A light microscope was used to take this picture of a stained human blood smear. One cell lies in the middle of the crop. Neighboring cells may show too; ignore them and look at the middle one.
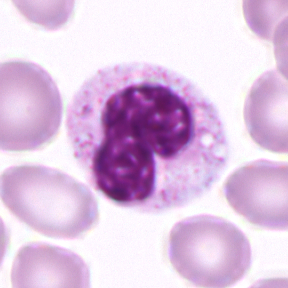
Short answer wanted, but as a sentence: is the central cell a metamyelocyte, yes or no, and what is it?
No, the cell sitting in the middle is a band neutrophil, and it is not a metamyelocyte.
